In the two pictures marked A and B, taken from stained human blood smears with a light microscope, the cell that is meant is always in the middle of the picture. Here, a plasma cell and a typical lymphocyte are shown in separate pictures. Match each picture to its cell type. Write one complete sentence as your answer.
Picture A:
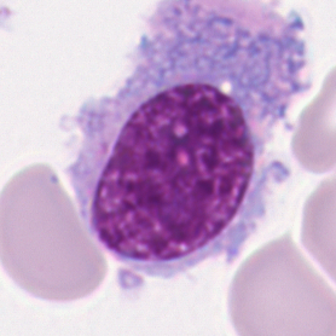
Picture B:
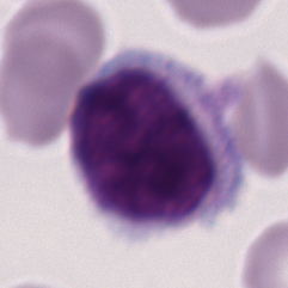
Picture A is of a plasma cell, and picture B is of a typical lymphocyte.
